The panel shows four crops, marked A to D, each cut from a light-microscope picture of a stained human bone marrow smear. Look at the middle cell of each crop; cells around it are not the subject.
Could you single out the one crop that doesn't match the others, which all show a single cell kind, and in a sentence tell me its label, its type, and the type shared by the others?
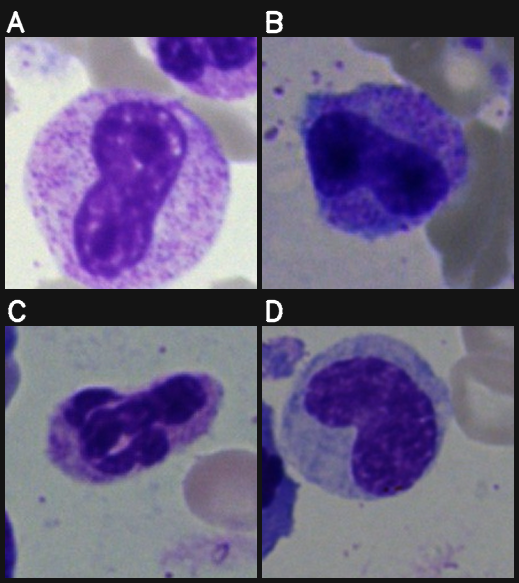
Differing from the rest, crop C shows a segmented neutrophil; the others all show band neutrophils.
